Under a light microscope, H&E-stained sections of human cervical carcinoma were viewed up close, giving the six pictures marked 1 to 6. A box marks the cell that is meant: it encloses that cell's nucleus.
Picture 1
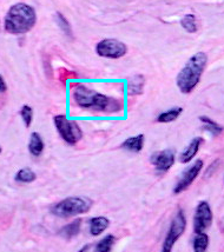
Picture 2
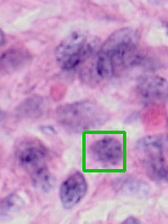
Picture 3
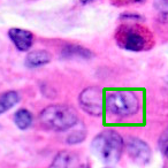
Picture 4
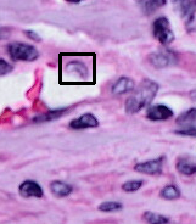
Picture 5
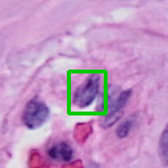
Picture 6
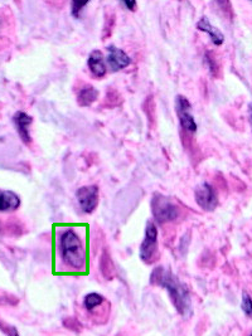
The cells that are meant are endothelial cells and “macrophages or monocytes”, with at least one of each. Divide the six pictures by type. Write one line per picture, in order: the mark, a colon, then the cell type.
1: endothelial cell
2: macrophage or monocyte
3: endothelial cell
4: endothelial cell
5: endothelial cell
6: macrophage or monocyte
